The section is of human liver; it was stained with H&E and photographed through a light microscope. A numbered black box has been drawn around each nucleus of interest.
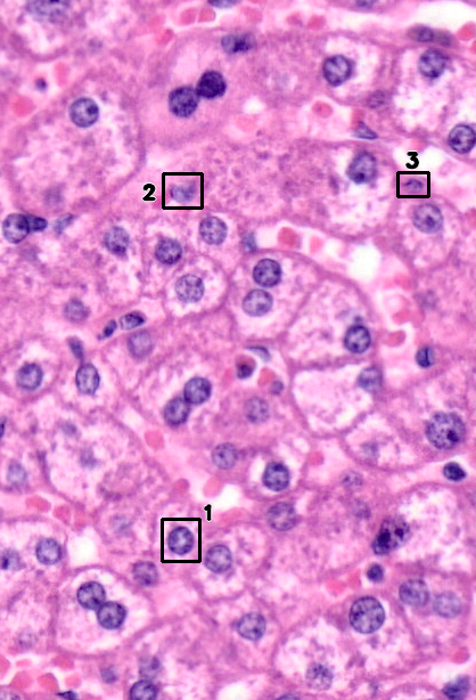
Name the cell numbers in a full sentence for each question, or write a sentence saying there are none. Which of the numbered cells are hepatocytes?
Being a hepatocyte is true of cell 1 and of no other numbered cell.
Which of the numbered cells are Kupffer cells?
Cell 3 is a Kupffer cell; no further numbered cell is.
